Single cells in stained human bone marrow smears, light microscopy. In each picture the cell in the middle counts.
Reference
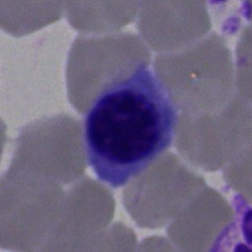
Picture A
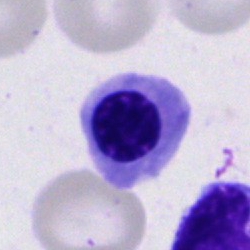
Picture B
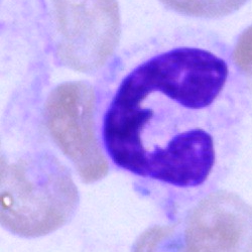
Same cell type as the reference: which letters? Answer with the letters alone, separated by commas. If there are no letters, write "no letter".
A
